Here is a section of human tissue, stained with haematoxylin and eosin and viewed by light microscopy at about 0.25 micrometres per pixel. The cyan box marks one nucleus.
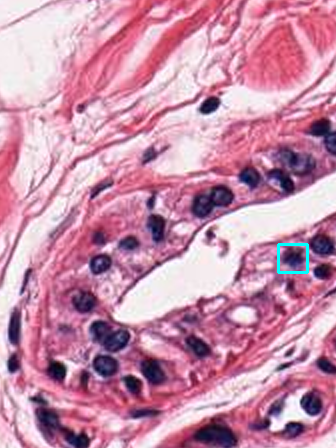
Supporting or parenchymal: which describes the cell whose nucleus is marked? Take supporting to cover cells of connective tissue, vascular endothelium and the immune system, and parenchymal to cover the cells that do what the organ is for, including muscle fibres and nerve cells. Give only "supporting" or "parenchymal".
parenchymal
